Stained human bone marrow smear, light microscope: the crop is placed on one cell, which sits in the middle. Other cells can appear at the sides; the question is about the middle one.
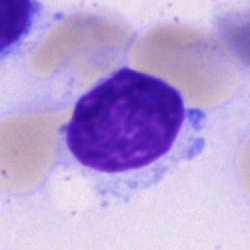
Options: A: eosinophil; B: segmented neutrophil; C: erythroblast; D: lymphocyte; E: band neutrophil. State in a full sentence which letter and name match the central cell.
What sits in the middle of the crop is a lymphocyte, and option D is correct.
